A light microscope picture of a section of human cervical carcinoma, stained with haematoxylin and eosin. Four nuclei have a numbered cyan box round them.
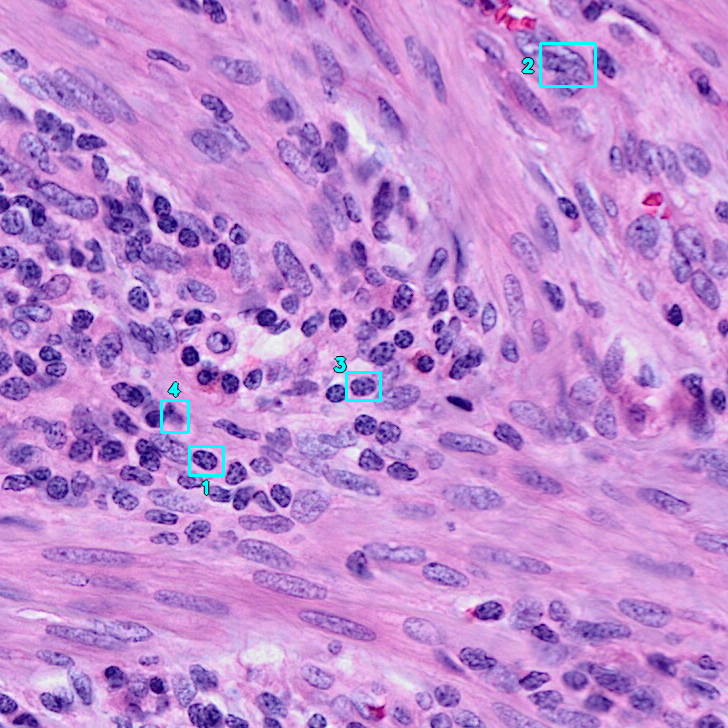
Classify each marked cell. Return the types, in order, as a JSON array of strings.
["lymphocyte", "endothelial cell", "lymphocyte", "lymphocyte"]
